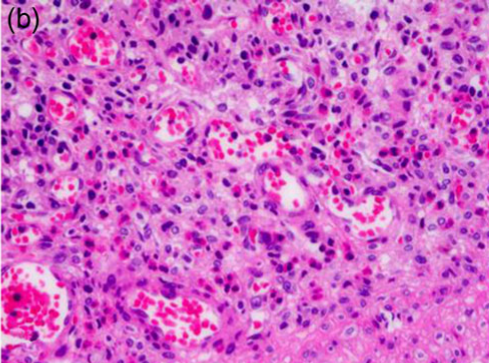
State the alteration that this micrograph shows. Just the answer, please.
Eosinophil accumulation.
